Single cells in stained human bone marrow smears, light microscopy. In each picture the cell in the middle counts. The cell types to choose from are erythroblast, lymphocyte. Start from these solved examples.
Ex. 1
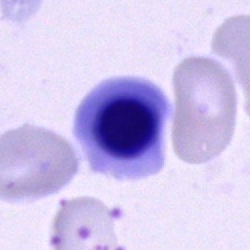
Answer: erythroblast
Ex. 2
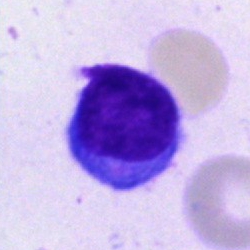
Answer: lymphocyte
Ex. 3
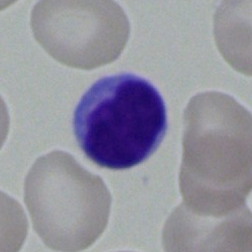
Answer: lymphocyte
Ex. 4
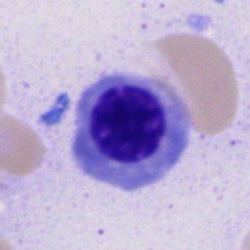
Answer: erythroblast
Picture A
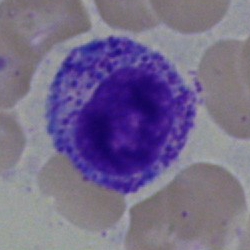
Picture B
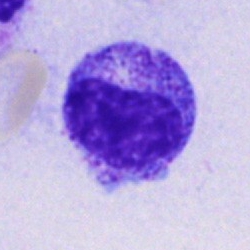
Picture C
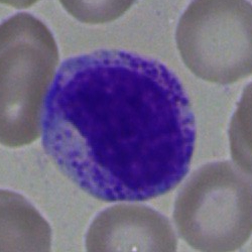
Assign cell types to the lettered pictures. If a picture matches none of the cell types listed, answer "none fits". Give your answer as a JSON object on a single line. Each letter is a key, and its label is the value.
{"A": "none fits", "B": "none fits", "C": "none fits"}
